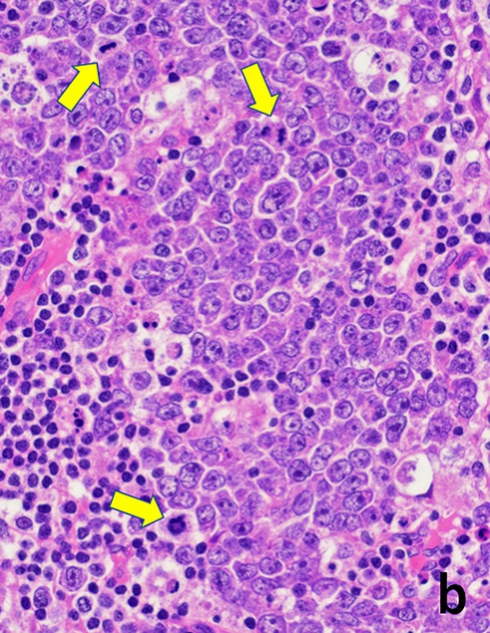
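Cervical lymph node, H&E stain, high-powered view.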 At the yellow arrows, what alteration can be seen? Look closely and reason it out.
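The arrows point to cells with dark, condensed, clumped chromatin instead of a round nucleus with a nuclear membrane.
Answer: Mitotic activity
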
